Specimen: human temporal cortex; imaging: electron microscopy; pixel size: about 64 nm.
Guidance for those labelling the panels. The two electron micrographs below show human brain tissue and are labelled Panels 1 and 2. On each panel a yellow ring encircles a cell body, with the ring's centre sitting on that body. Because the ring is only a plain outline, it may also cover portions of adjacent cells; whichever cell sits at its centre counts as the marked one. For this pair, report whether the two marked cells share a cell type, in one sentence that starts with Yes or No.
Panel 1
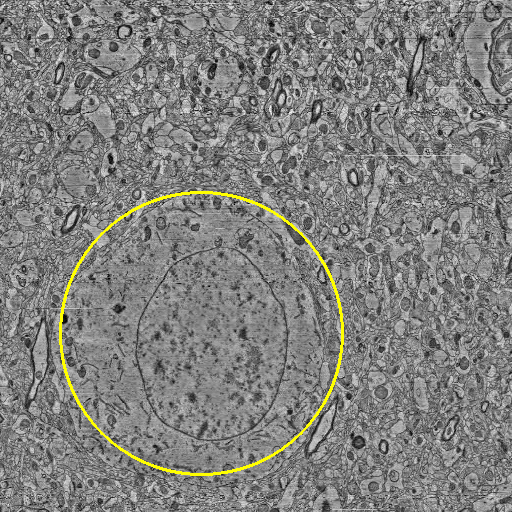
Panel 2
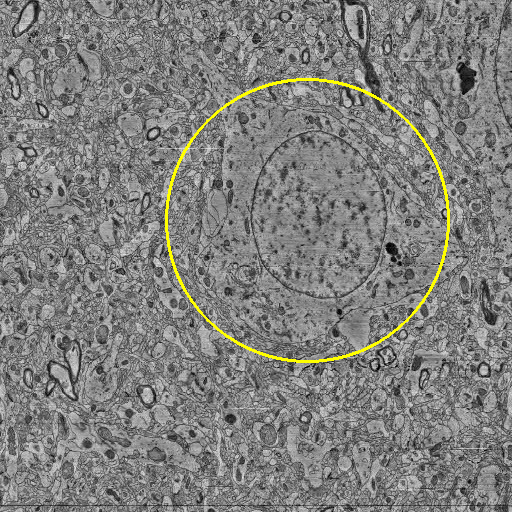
Yes, in Panel 1 and Panel 2 the marked cells at the ring centres share one type.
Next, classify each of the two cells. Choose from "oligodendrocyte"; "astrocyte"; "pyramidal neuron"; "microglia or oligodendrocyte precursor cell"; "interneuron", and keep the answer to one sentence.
Each cell, in the first picture and the second, is a pyramidal neuron.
